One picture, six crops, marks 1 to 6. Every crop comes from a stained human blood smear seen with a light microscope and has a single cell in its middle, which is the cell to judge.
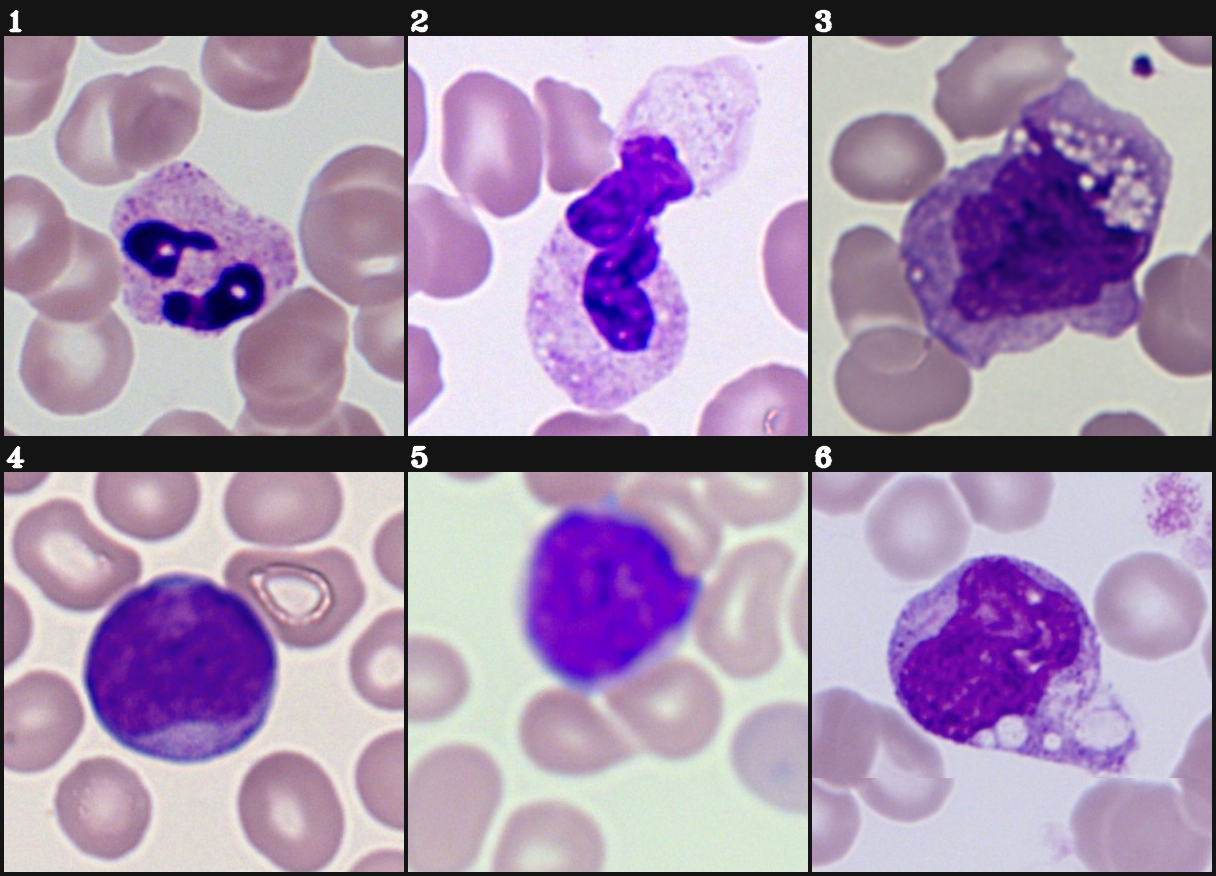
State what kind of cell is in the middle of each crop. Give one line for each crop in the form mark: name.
1: neutrophil
2: neutrophil
3: monocyte
4: blast
5: blast
6: monocyte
